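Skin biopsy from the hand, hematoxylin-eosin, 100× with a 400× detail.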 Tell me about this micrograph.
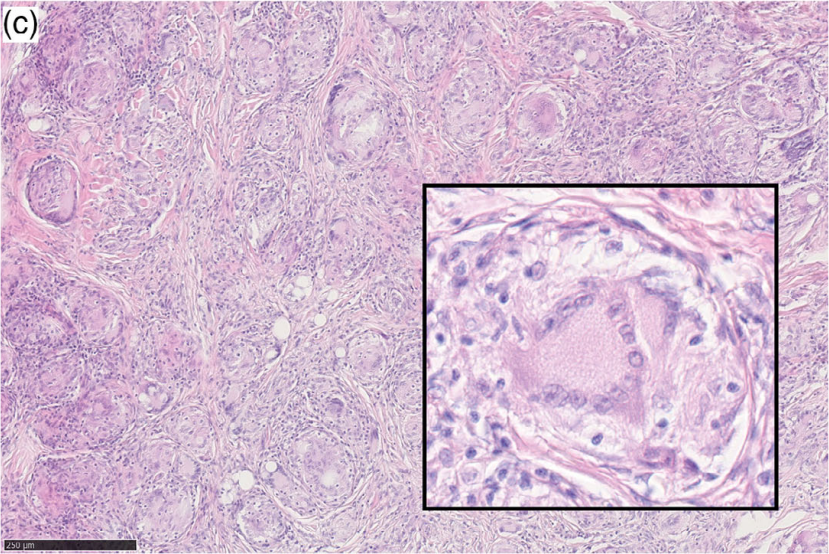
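The dermis is crowded with rounded nests of large cells with ample pale pink cytoplasm and oval, pale nuclei, separated by thin strands of pink collagen and scattered small dark lymphocytes. A few clear round fat spaces lie between the nests. The framed enlargement shows one very large cell whose pink cytoplasm is bordered by a row of many small nuclei.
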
